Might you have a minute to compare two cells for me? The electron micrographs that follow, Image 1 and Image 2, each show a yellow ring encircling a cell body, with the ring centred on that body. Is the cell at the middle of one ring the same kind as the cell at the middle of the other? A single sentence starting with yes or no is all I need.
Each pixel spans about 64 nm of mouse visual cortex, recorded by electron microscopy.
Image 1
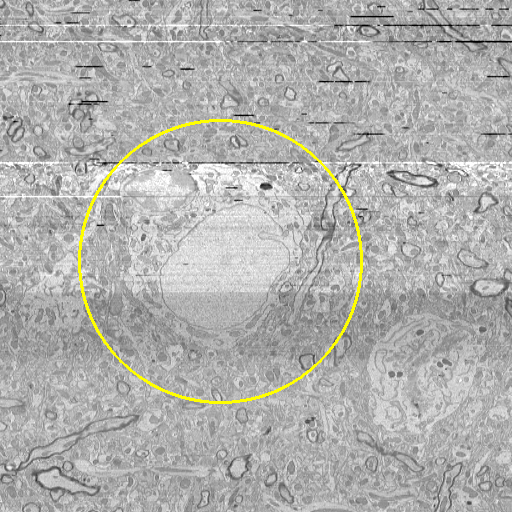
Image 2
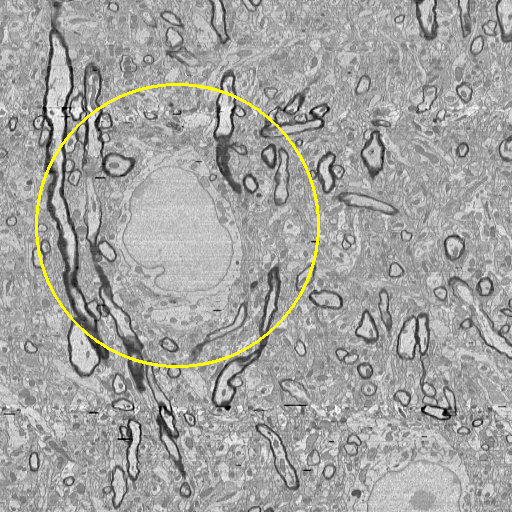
Yes, the cells in the middle of the two rings are of one shared kind.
